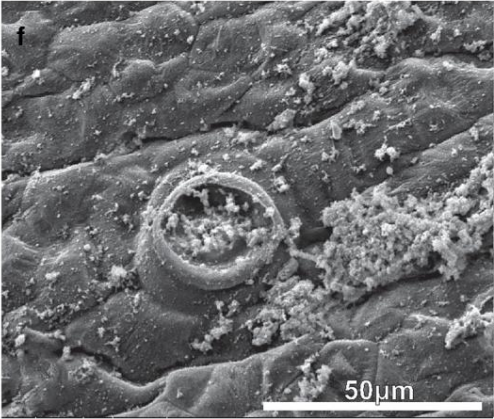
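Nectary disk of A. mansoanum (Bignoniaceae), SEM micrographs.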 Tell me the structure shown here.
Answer: Raised stoma.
